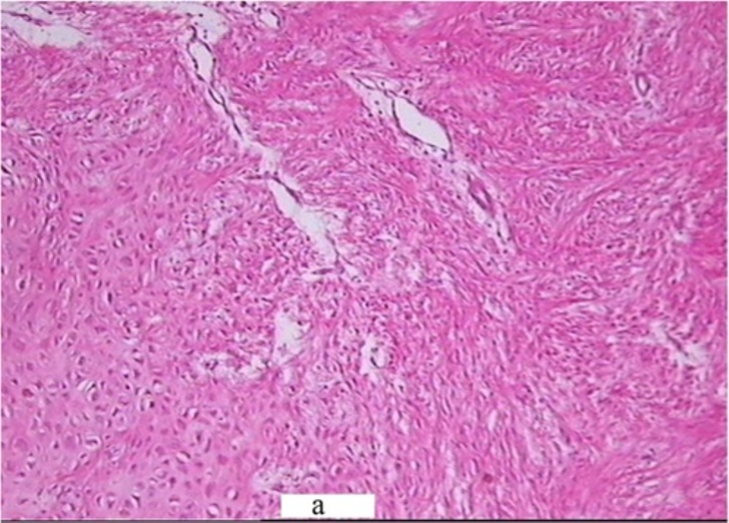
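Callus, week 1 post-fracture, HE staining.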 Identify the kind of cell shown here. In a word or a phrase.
fibroblasts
